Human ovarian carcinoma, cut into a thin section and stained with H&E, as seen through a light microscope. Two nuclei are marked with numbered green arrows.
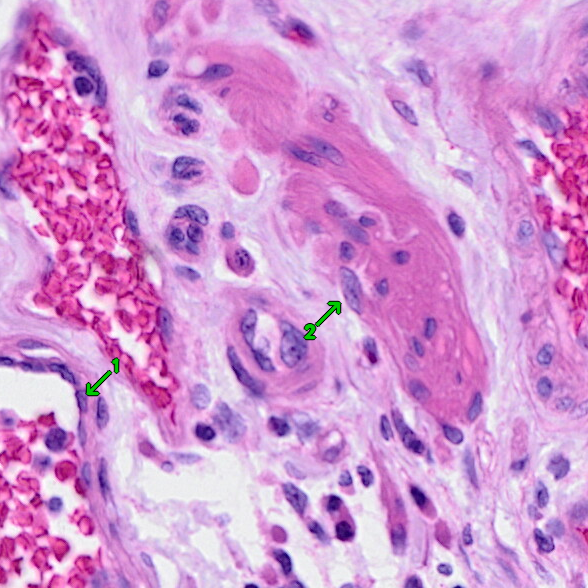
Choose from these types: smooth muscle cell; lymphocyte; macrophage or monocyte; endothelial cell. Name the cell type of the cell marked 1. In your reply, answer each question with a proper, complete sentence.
The cell pointed out as number 1 is an endothelial cell.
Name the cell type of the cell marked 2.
The cell identified by number 2 is a smooth muscle cell.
